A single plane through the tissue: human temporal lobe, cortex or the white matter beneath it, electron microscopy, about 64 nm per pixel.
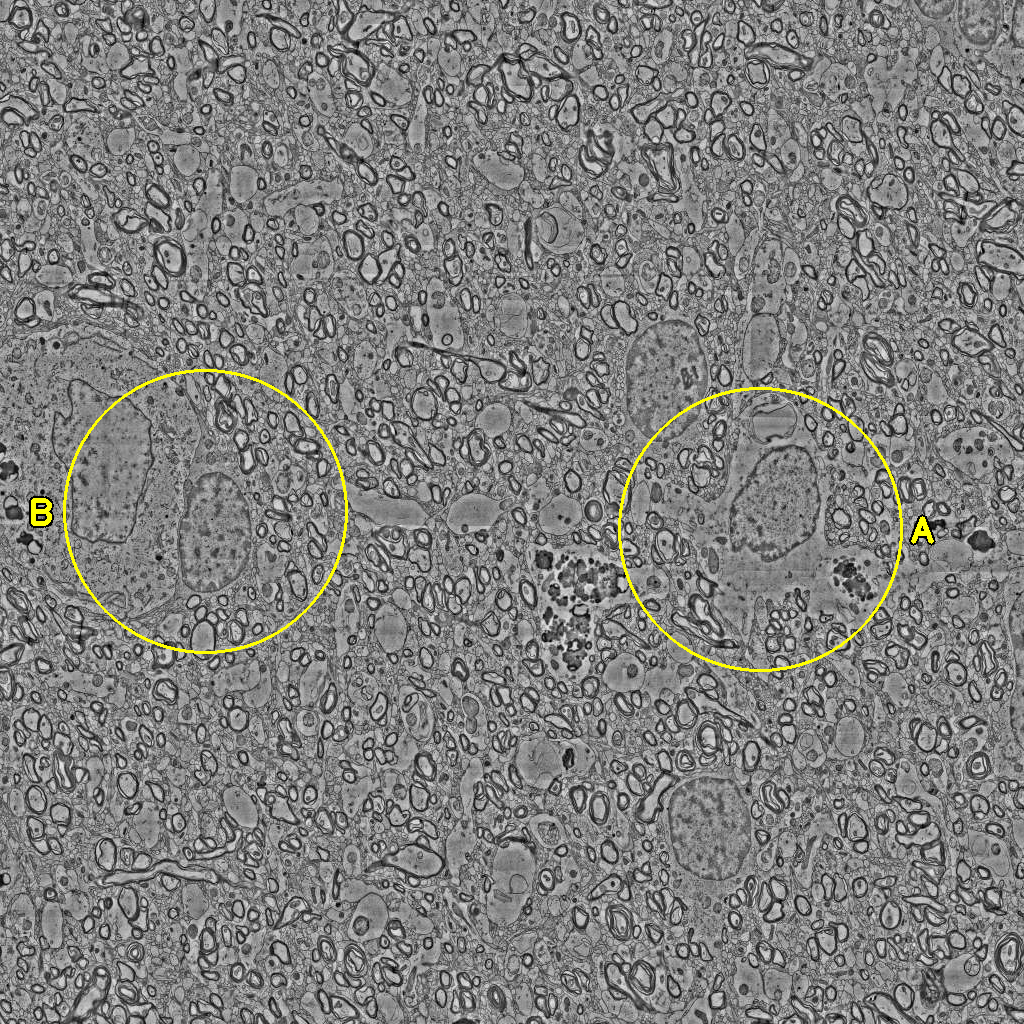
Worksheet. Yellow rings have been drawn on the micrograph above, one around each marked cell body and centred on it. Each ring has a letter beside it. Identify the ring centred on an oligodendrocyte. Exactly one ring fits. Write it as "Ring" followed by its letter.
Ring B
